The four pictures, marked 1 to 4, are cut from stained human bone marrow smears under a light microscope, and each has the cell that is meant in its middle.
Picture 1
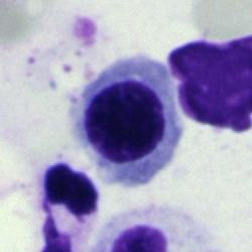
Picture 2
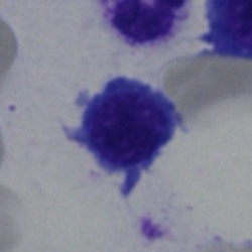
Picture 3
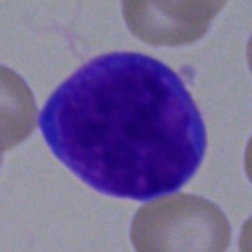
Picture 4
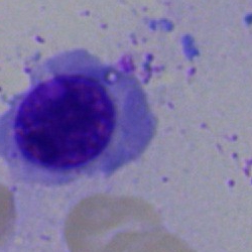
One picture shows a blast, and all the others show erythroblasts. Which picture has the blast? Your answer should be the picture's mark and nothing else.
3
